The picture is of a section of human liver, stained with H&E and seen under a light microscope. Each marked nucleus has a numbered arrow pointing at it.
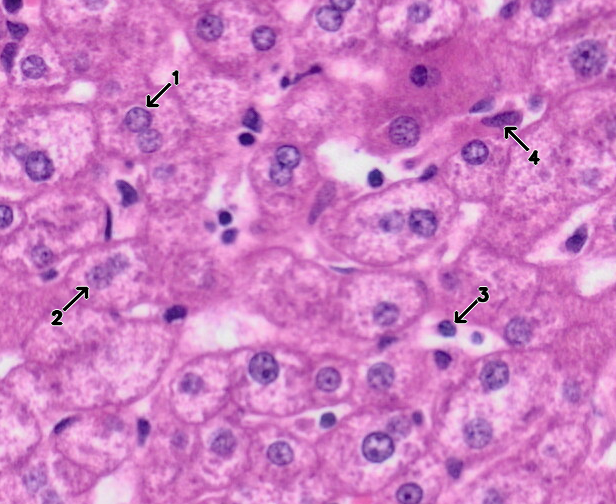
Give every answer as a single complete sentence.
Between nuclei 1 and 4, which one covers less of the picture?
With nucleus 1 about 1.5 times its size, nucleus 4 is the smaller of the two.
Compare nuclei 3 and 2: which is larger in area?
At about 1.5 times the area of nucleus 3, nucleus 2 is the larger of the two.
